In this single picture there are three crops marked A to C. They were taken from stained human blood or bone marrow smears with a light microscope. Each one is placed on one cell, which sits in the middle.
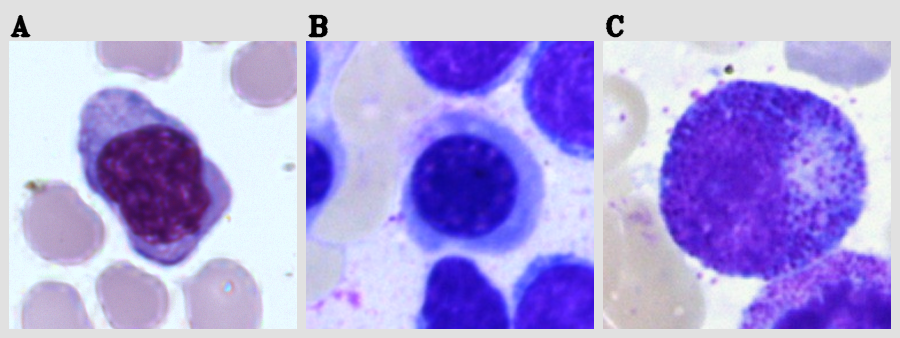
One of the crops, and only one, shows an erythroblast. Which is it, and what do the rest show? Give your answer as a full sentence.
The cell at the centre of crop B is an erythroblast, while crop A is a plasma cell and crop C is a promyelocyte.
